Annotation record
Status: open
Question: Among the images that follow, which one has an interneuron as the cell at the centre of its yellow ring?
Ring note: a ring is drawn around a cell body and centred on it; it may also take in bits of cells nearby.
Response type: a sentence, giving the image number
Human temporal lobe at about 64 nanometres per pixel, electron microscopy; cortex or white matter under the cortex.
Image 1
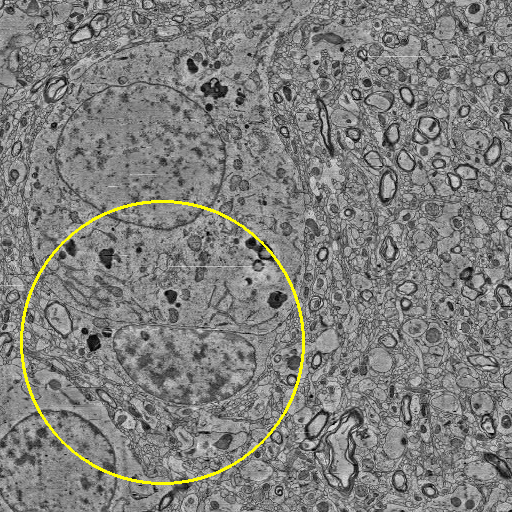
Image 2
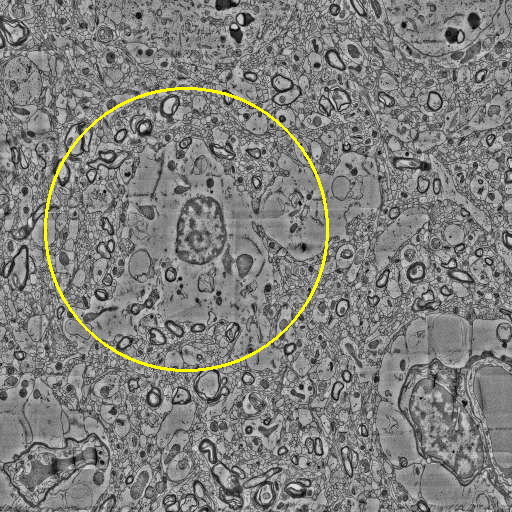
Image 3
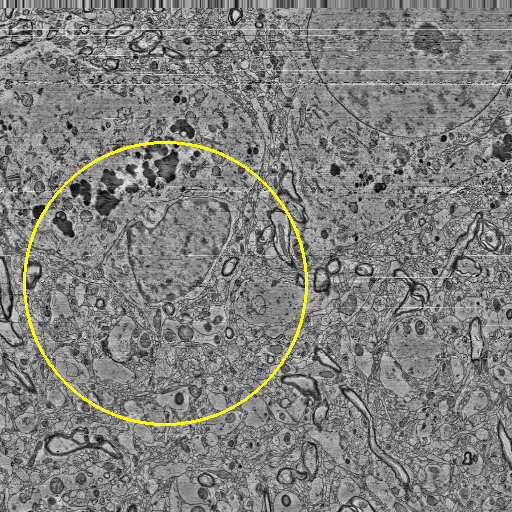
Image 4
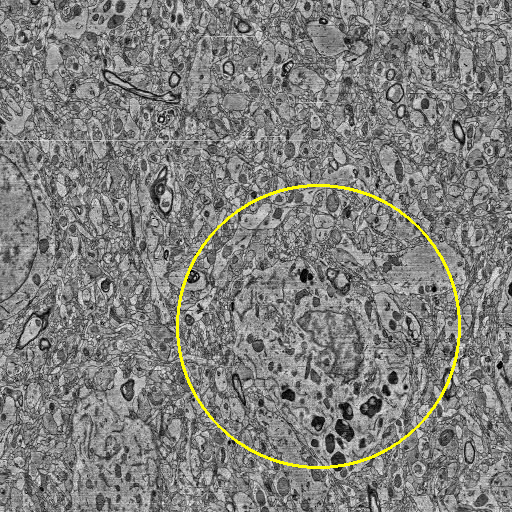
Image 4 shows it at the centre of its ring.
